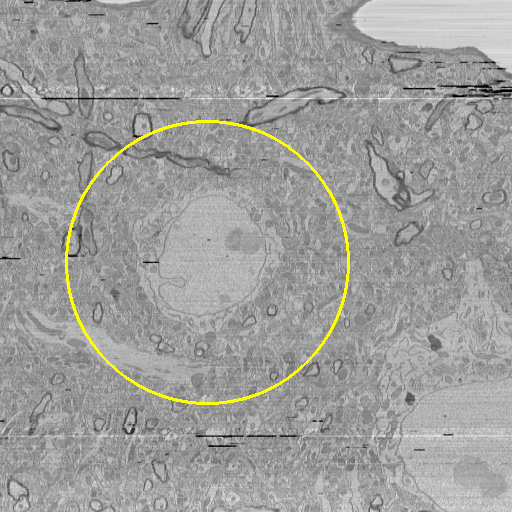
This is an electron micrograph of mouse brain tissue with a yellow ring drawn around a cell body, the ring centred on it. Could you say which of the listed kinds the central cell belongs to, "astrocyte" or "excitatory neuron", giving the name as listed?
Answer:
excitatory neuron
